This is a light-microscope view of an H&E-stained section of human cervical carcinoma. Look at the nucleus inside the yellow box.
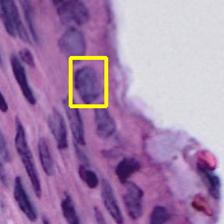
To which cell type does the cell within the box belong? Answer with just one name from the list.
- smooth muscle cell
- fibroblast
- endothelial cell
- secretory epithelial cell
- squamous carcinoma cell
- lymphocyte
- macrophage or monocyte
secretory epithelial cell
